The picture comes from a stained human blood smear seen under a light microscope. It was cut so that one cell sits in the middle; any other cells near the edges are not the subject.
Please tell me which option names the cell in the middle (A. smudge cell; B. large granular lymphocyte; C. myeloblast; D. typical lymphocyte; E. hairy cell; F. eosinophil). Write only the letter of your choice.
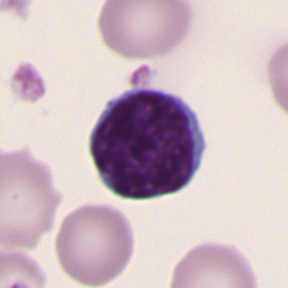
D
